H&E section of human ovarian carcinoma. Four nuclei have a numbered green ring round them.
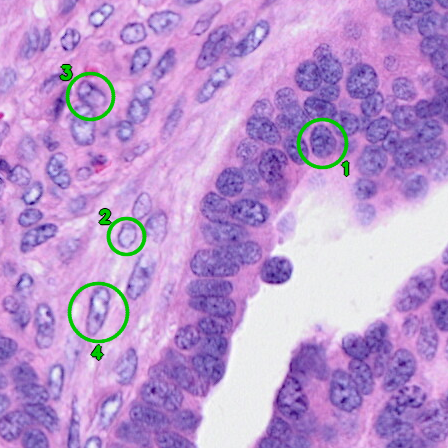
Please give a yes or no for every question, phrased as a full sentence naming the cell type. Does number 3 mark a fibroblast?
No, cell 3 isn't a fibroblast; it's an endothelial cell.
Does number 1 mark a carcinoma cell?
Yes, within this section, cell number 1 is a carcinoma cell.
